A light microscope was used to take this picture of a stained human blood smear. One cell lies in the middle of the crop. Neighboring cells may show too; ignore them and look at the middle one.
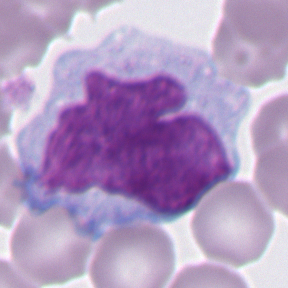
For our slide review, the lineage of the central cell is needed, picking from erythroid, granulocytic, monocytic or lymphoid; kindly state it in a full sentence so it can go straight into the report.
Placed within the monocytic lineage is the cell in the middle.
